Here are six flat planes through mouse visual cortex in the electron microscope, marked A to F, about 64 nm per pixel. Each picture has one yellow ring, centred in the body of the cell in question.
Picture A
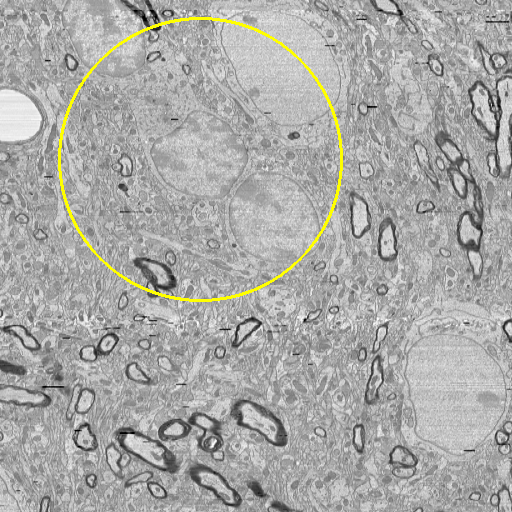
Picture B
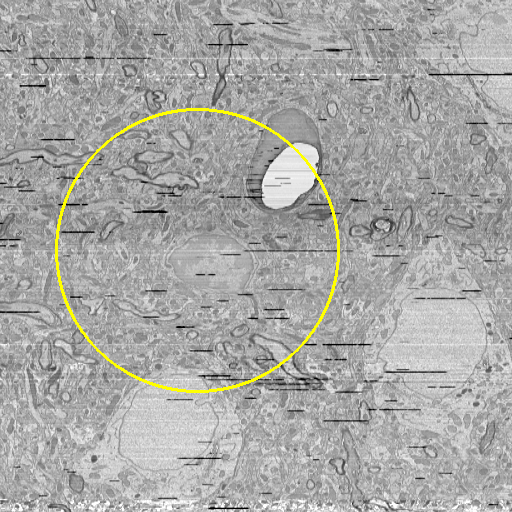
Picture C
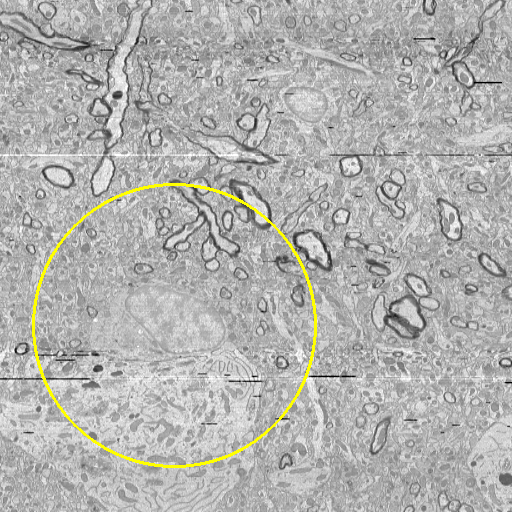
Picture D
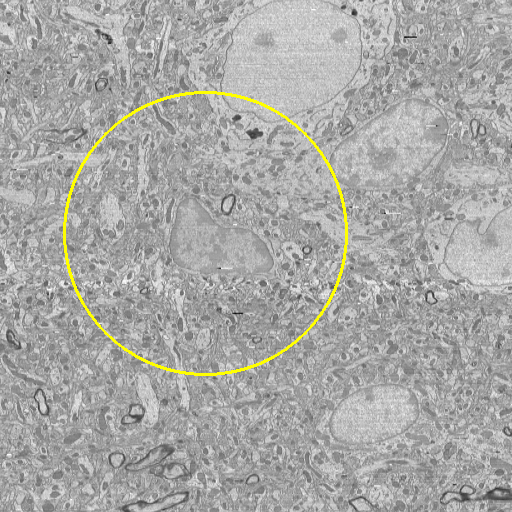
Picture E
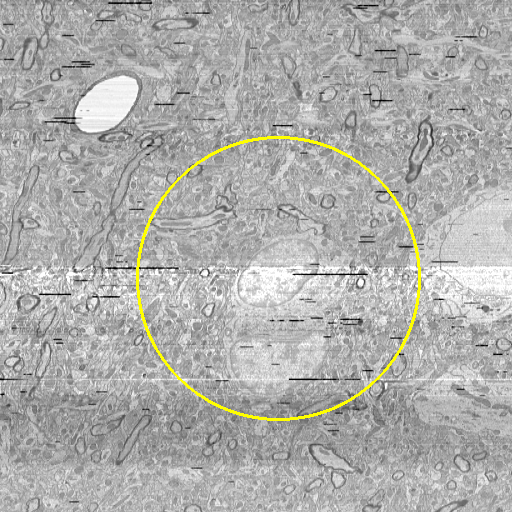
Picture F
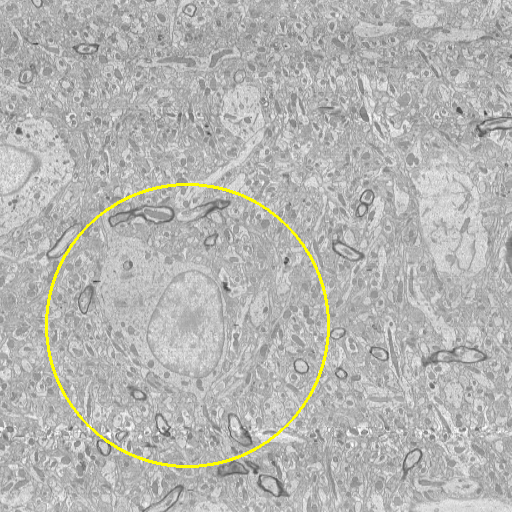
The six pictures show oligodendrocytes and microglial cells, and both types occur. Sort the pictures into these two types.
Pictures A, C, E and F show oligodendrocytes, while pictures B and D show microglial cells.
